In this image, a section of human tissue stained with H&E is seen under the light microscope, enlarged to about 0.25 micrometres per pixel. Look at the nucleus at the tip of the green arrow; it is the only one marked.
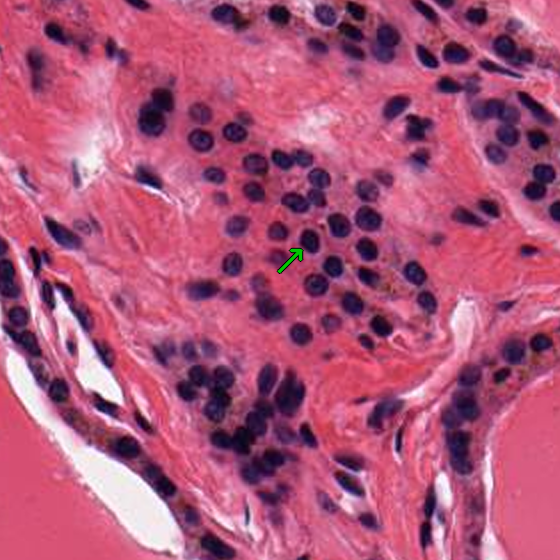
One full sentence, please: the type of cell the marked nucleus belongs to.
The cell to which the marked nucleus belongs is a thyroid follicular cell.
